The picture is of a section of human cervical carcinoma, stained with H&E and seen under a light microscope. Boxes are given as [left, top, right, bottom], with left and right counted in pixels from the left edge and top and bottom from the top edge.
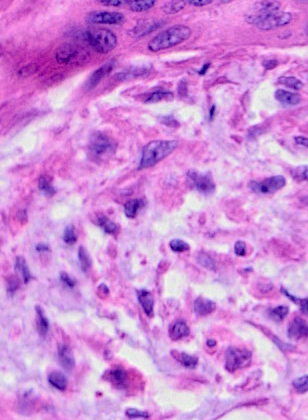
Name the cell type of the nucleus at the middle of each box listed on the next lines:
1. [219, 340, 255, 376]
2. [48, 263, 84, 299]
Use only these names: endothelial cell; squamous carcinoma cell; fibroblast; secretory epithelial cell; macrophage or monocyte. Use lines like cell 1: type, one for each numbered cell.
cell 1: macrophage or monocyte
cell 2: fibroblast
